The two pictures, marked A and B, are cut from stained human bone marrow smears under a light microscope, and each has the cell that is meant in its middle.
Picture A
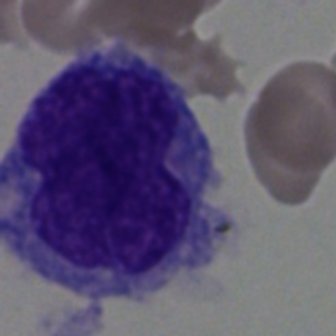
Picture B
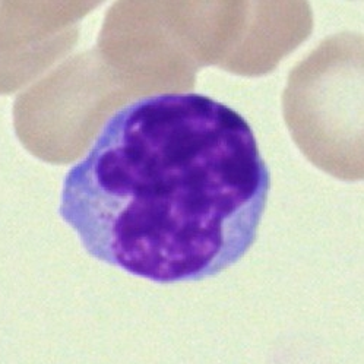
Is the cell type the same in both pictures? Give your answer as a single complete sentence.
No, picture A shows a monocyte and picture B shows a lymphocyte.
